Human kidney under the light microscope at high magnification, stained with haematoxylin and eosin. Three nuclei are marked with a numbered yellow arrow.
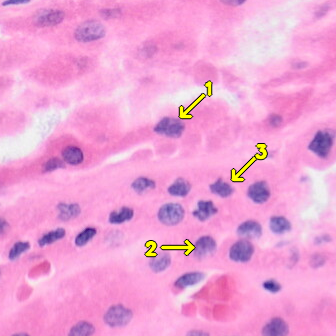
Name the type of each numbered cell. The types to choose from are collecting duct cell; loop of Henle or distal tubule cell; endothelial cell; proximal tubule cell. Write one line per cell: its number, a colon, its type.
1: proximal tubule cell
2: loop of Henle or distal tubule cell
3: loop of Henle or distal tubule cell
